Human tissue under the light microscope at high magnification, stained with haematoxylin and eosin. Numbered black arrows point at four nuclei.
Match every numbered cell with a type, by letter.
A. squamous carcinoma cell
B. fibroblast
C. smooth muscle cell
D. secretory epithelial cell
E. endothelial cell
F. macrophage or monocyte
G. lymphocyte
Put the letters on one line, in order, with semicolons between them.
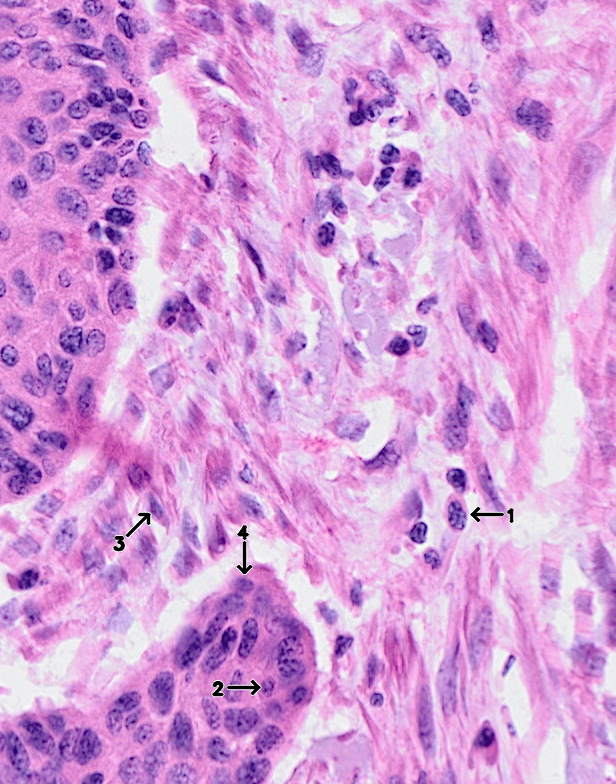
G; A; B; A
